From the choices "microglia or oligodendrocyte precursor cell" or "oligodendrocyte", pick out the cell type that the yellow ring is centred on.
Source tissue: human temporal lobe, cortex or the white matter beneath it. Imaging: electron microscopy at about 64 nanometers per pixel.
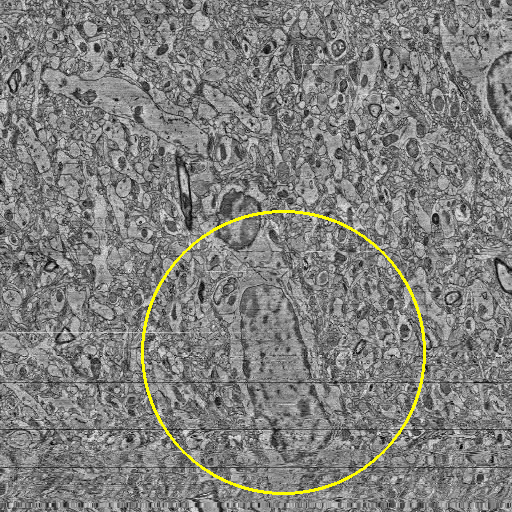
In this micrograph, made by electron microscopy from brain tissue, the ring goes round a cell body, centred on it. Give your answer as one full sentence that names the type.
The yellow ring is centred on a microglial cell or oligodendrocyte precursor cell, whose cell body it encircles in the picture.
